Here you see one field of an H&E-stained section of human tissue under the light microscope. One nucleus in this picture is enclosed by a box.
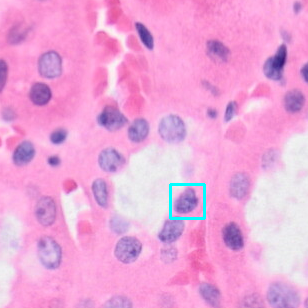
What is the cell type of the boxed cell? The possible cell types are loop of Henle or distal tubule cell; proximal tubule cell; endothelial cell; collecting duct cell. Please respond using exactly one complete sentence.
In the context of this tissue, the boxed cell is a loop of Henle or distal tubule cell.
